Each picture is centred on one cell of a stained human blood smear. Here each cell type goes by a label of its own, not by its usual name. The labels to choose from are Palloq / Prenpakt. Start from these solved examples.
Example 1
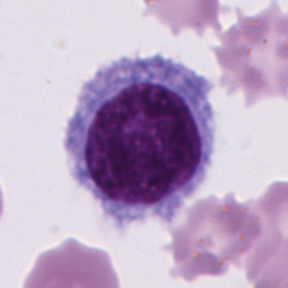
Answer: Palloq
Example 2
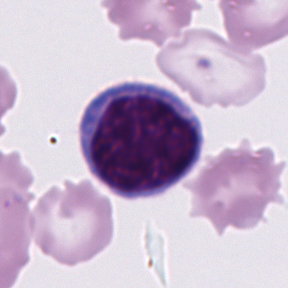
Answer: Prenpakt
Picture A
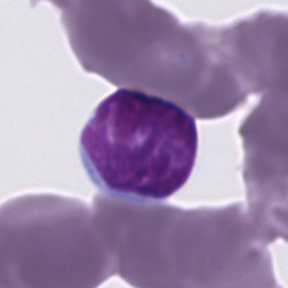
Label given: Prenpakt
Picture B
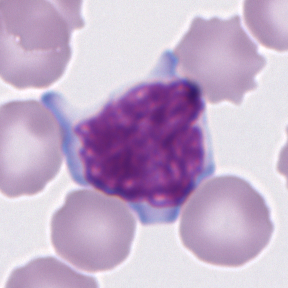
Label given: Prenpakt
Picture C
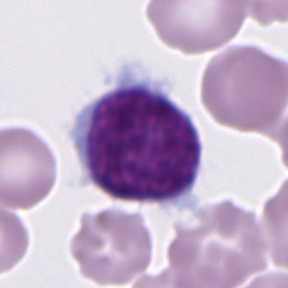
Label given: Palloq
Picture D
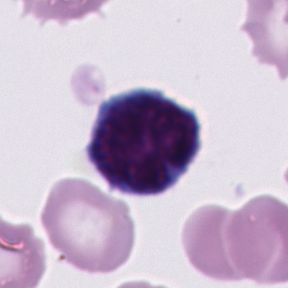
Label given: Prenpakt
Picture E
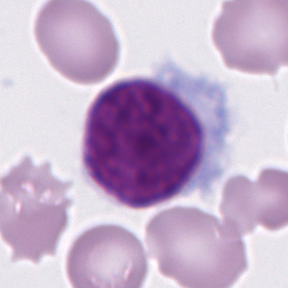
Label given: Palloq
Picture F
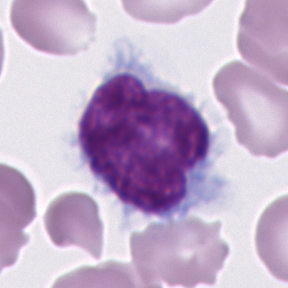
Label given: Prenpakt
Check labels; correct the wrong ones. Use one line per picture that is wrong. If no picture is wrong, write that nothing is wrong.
Wrong: F (Prenpakt); correct: Palloq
